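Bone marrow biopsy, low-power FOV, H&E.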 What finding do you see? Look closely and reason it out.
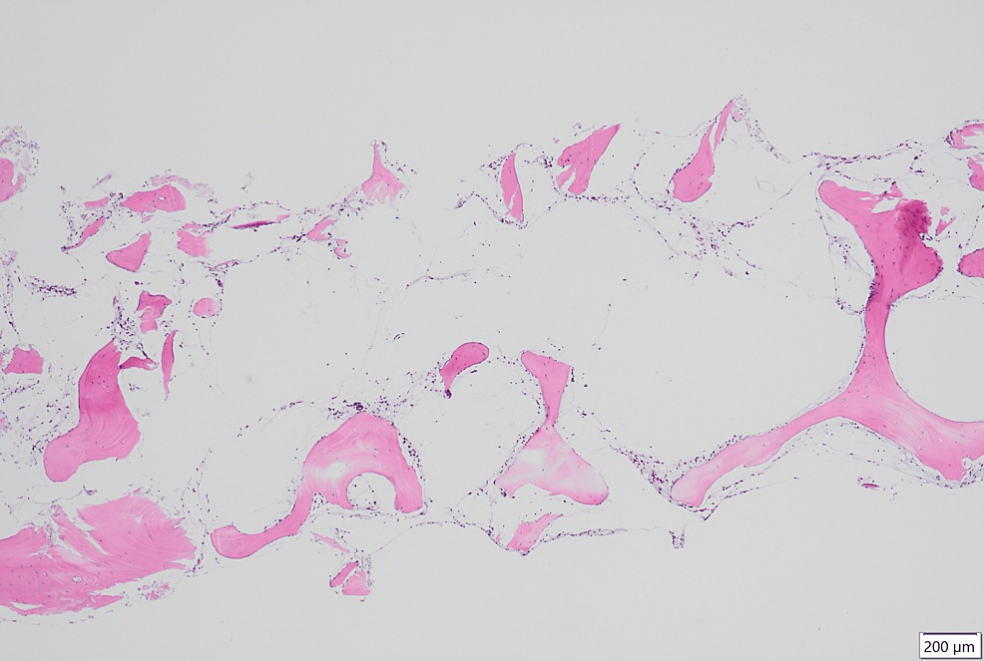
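Pink bony trabeculae are separated by wide spaces that are nearly empty. Between the trabeculae there are no sheets of blood-forming cells, only delicate strands with scattered small dark nuclei.
Conclusion: aplasia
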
